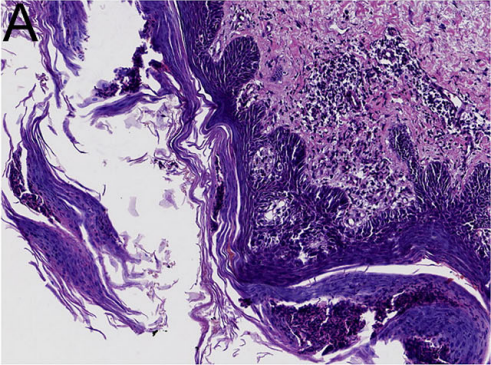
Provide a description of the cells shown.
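This is skin with thick, layered, purple-pink keratin sheets at the surface, partly detached, over a dark purple epidermis. Elongated rete ridges push down into the pink dermis, and the upper dermis holds a dense crowd of small dark inflammatory cell nuclei.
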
